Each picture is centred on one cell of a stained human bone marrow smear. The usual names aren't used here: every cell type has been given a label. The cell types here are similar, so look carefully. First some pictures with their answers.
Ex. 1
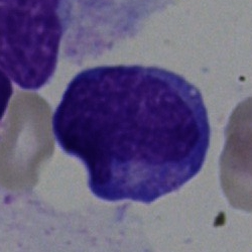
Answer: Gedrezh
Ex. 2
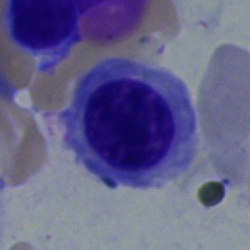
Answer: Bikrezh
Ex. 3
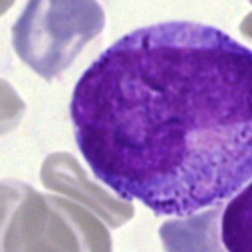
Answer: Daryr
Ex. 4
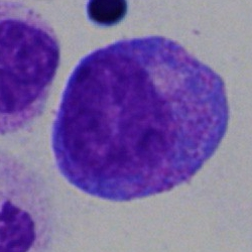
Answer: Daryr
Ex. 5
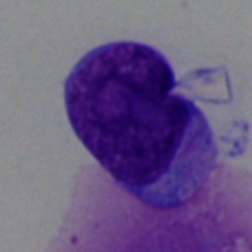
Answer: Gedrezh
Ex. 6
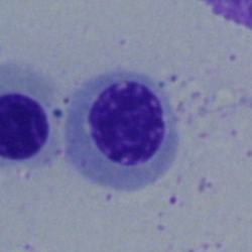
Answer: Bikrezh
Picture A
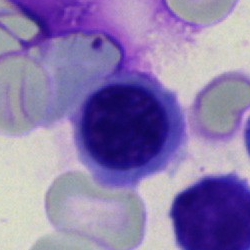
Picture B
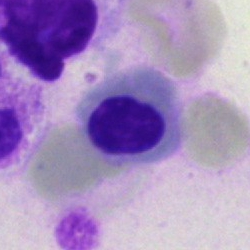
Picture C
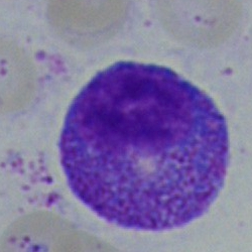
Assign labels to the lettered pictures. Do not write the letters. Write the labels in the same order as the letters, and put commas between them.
Bikrezh, Bikrezh, Daryr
